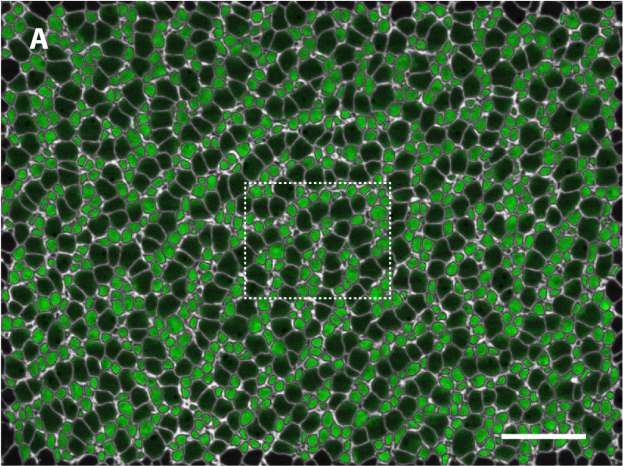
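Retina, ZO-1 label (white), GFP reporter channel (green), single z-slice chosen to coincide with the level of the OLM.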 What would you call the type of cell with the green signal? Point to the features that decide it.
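Rods. Small green-filled profiles lie scattered between larger dark profiles.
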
